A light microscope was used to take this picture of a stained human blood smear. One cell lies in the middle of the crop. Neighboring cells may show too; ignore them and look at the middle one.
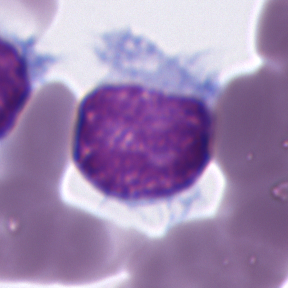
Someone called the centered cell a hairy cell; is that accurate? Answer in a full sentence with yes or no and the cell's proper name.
Yes, the crop is centred on a hairy cell.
